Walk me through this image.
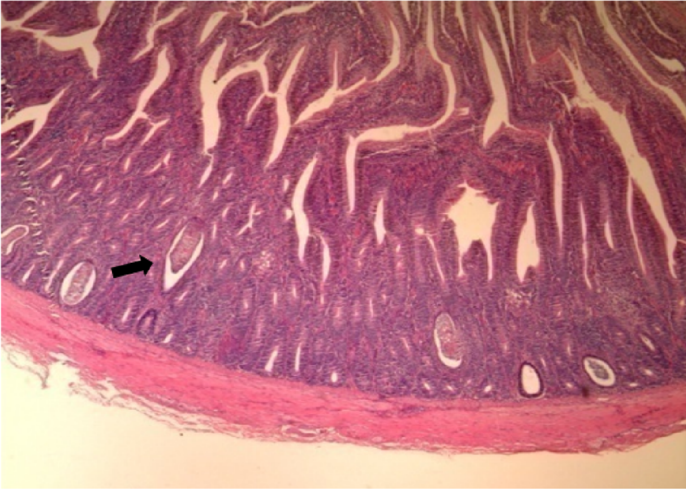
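This low-power view shows the wall of the small intestine, with long villi reaching upward and a thin pink muscular layer along the bottom. Near the base of the mucosa a row of crypts is visibly distended into round or oval cavities, much wider than the neighbouring crypts. Several of these cavities contain pale granular material instead of an empty lumen. The mucosa overall is densely cellular and stains deep purple, consistent with cells infiltrating the lamina propria between crypts.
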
